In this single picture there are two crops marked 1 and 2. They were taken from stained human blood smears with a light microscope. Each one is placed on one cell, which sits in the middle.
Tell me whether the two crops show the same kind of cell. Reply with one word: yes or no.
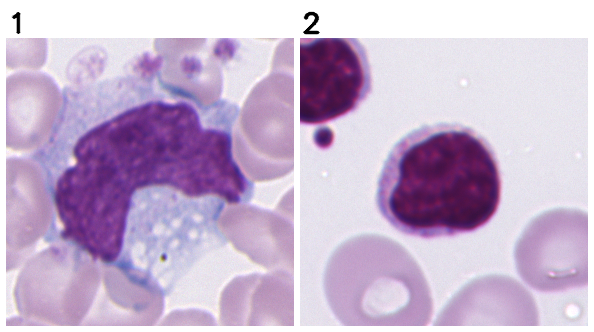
no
